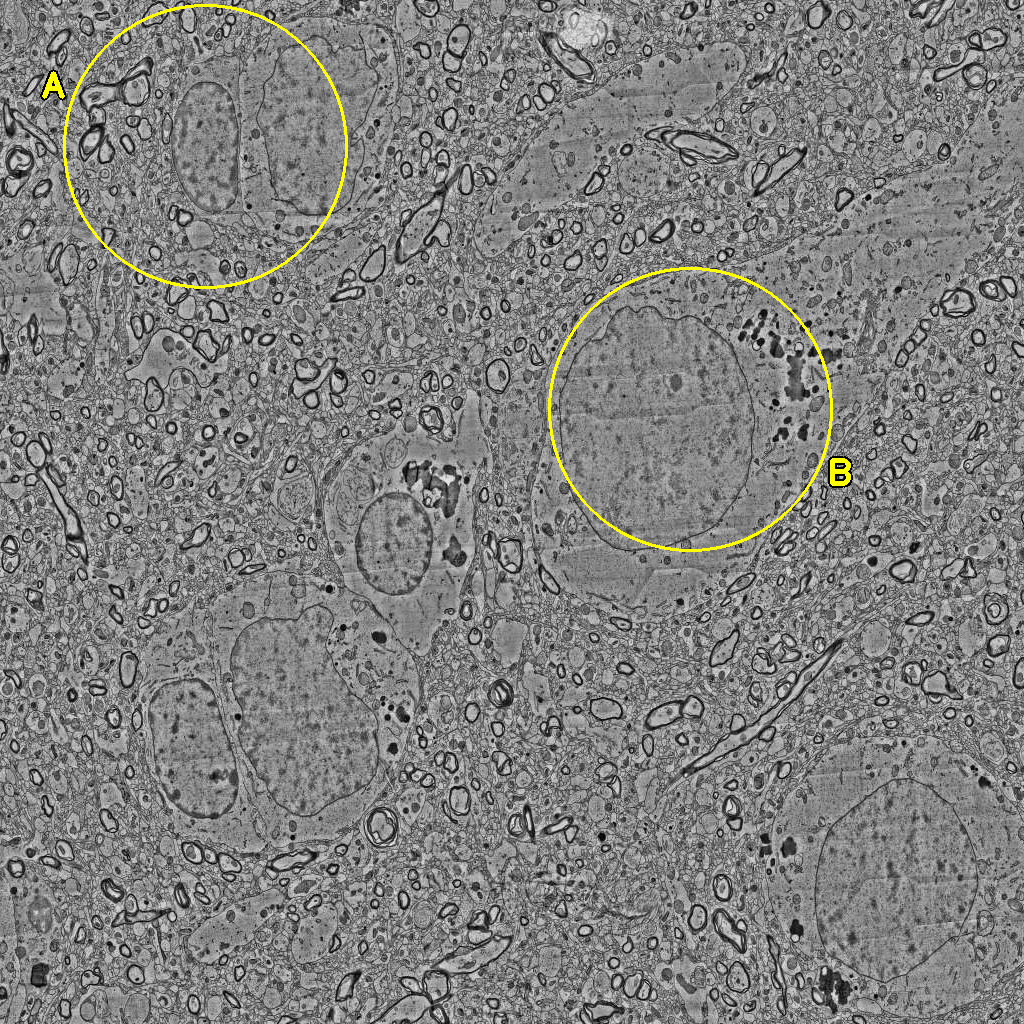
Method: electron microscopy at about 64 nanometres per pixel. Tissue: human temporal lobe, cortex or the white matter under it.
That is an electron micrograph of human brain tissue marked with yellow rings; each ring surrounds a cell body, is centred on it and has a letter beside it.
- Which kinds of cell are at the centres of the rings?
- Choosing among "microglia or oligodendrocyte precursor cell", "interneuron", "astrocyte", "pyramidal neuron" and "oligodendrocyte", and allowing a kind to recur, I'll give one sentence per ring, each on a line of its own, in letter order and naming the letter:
Ring A sits around an oligodendrocyte.
Ring B sits around a pyramidal neuron.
